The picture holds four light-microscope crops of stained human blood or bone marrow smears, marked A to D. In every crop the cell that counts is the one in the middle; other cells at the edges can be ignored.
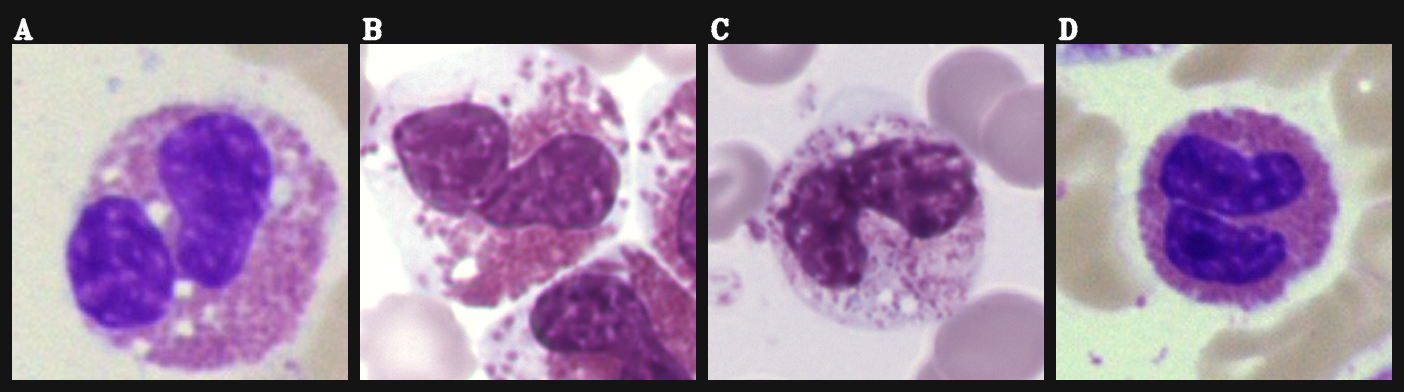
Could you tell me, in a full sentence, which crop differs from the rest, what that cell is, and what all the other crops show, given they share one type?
Among these crops, eosinophils occur in all but crop C, which contains a band neutrophil.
